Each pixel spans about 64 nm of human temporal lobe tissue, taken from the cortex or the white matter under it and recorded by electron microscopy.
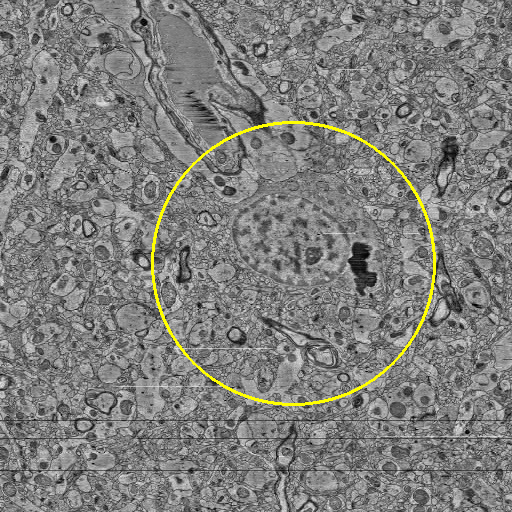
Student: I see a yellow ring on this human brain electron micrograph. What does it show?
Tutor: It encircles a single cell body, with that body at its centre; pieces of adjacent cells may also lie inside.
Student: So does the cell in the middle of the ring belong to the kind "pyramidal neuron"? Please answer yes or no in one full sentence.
No, that cell at the centre of the ring is one of another kind.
